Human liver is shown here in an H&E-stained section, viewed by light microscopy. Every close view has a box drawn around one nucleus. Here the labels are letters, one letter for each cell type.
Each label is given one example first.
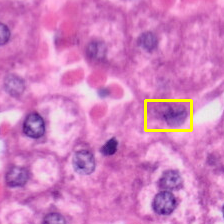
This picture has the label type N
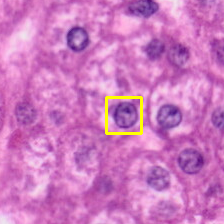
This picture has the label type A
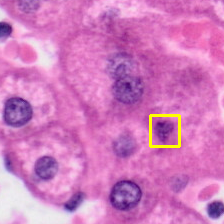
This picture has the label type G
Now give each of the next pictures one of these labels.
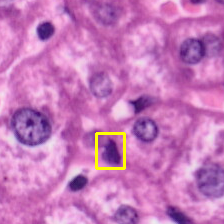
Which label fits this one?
type G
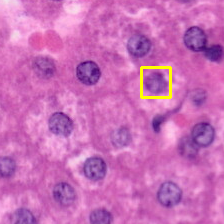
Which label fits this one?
type A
